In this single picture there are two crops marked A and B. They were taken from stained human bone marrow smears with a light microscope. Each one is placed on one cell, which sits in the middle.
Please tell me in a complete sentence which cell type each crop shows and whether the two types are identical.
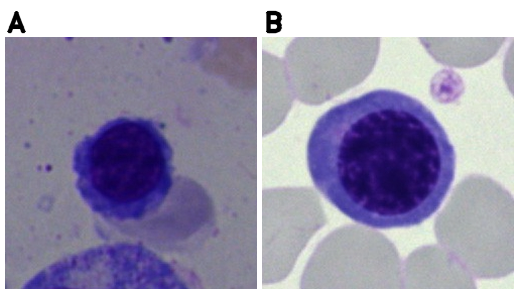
Yes, the cells in both crops are erythroblasts.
